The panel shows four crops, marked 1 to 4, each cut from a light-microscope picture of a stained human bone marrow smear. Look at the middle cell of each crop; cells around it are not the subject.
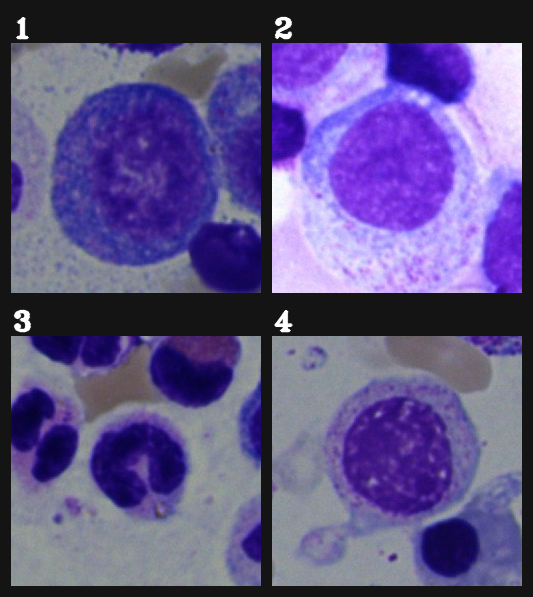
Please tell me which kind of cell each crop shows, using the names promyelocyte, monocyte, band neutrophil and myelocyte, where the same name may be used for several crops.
1: promyelocyte
2: myelocyte
3: band neutrophil
4: myelocyte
